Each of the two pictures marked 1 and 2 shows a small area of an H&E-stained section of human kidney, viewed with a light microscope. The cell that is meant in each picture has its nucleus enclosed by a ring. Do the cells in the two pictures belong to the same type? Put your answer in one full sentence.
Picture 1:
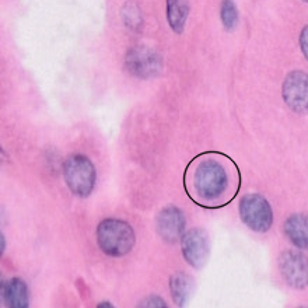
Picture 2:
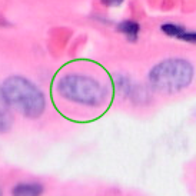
No, the types are not the same, since picture 1 shows a “loop of Henle or distal tubule cell” and picture 2 a collecting duct cell.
